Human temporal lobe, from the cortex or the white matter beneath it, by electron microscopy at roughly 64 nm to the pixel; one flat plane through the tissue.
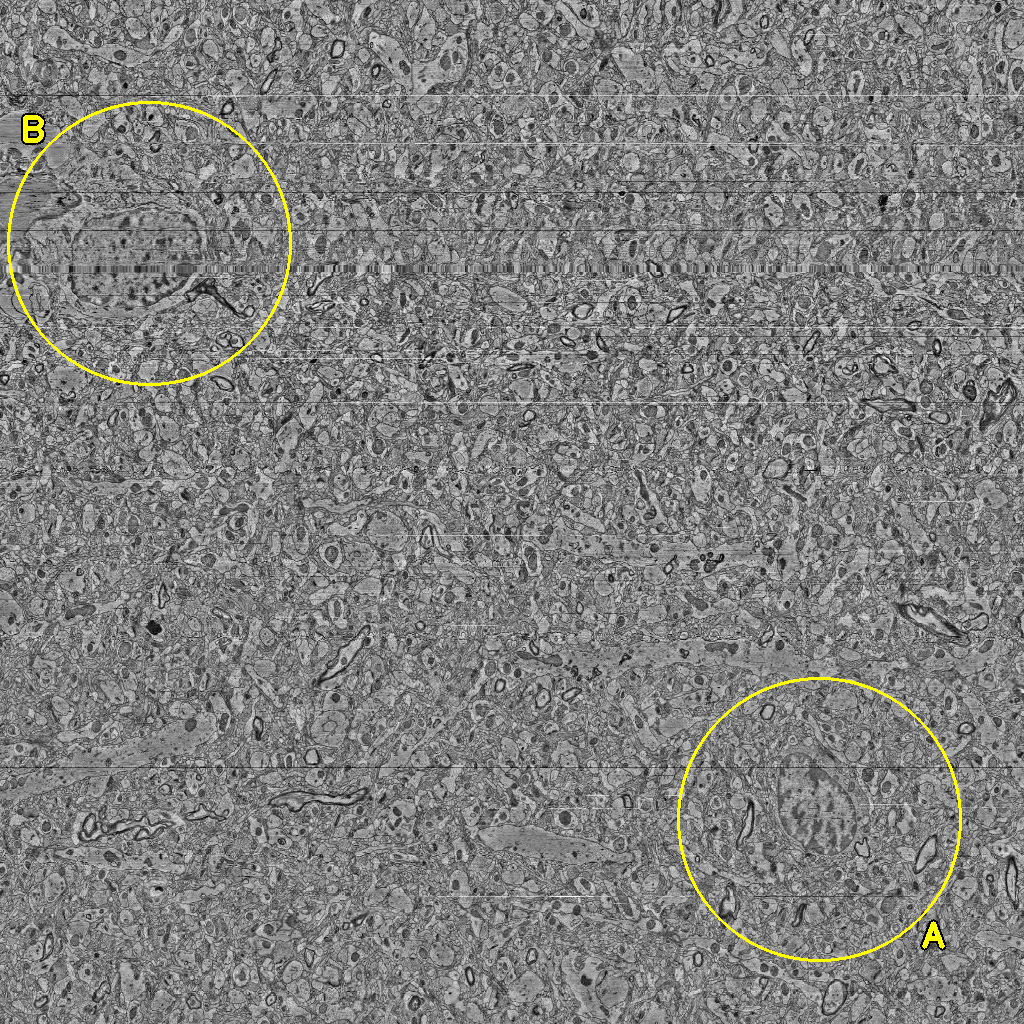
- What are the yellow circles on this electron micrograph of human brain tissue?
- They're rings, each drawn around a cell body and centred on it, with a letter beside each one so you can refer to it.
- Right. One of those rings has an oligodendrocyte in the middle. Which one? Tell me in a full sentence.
It's ring A.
